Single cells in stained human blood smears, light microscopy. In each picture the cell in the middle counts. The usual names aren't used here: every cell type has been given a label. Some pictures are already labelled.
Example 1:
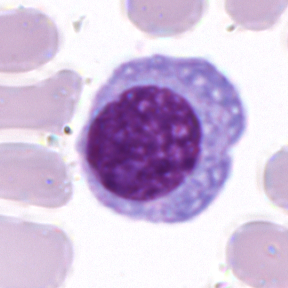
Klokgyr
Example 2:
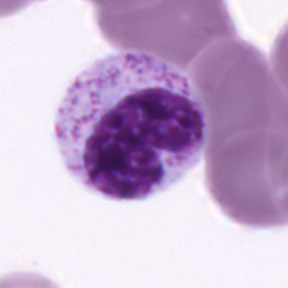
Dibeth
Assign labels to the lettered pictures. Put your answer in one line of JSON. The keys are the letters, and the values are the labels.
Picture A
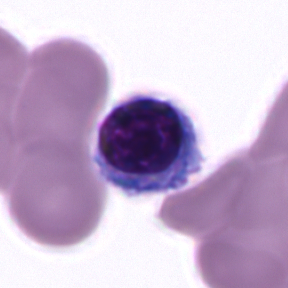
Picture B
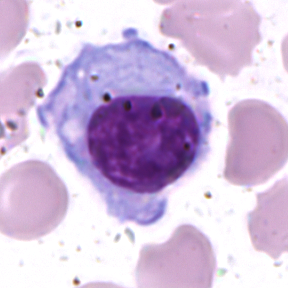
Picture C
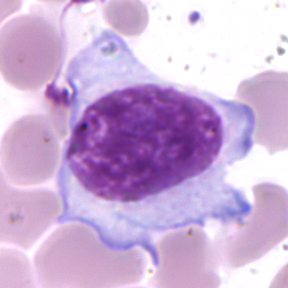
{"A": "Klokgyr", "B": "Klokgyr", "C": "Klokgyr"}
